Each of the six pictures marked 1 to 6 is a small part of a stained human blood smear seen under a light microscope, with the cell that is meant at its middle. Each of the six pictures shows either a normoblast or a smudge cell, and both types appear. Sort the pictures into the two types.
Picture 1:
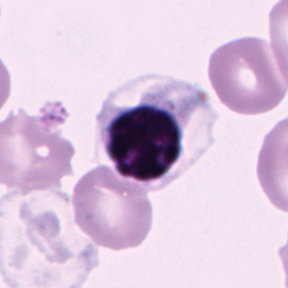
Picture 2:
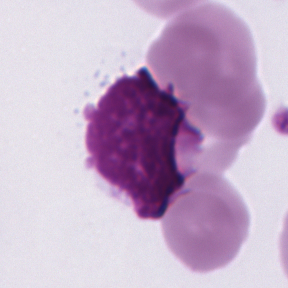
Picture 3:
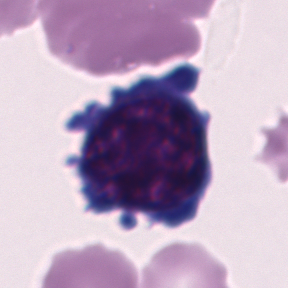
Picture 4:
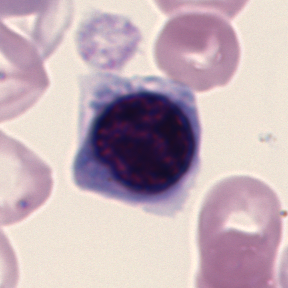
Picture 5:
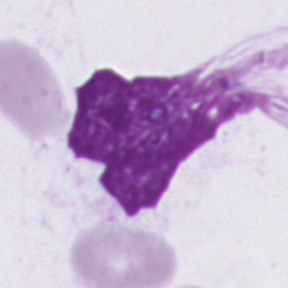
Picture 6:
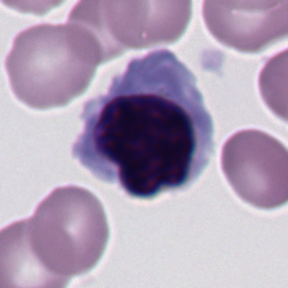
1: normoblast
2: smudge cell
3: normoblast
4: normoblast
5: smudge cell
6: normoblast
